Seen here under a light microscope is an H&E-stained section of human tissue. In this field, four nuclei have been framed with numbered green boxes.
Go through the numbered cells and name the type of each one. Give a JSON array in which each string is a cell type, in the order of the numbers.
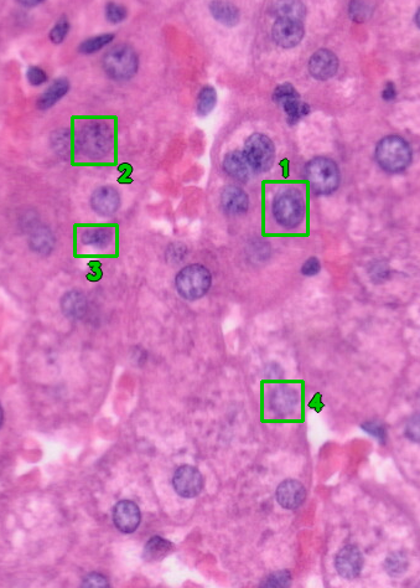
["hepatocyte", "hepatocyte", "endothelial cell", "hepatocyte"]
